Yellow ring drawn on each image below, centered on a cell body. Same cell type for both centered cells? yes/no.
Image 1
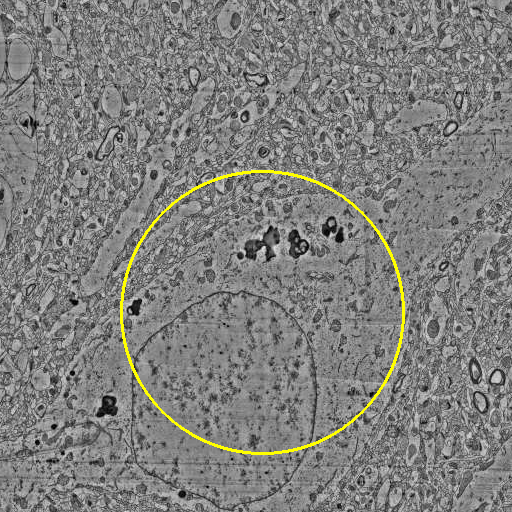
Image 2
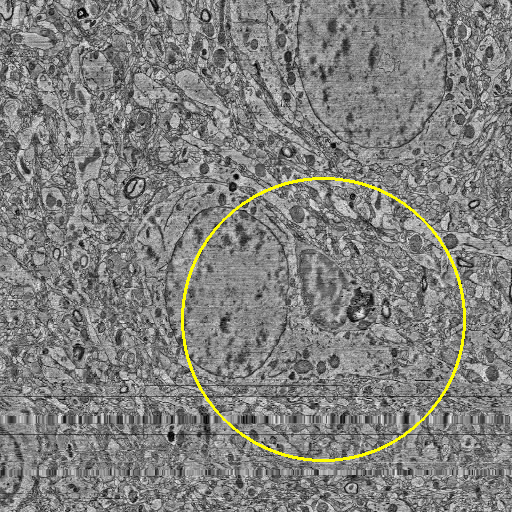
no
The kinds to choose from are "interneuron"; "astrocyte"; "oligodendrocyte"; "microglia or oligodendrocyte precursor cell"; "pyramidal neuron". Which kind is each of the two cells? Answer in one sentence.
Of the two, the first cell is a pyramidal neuron and the second cell is an oligodendrocyte.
